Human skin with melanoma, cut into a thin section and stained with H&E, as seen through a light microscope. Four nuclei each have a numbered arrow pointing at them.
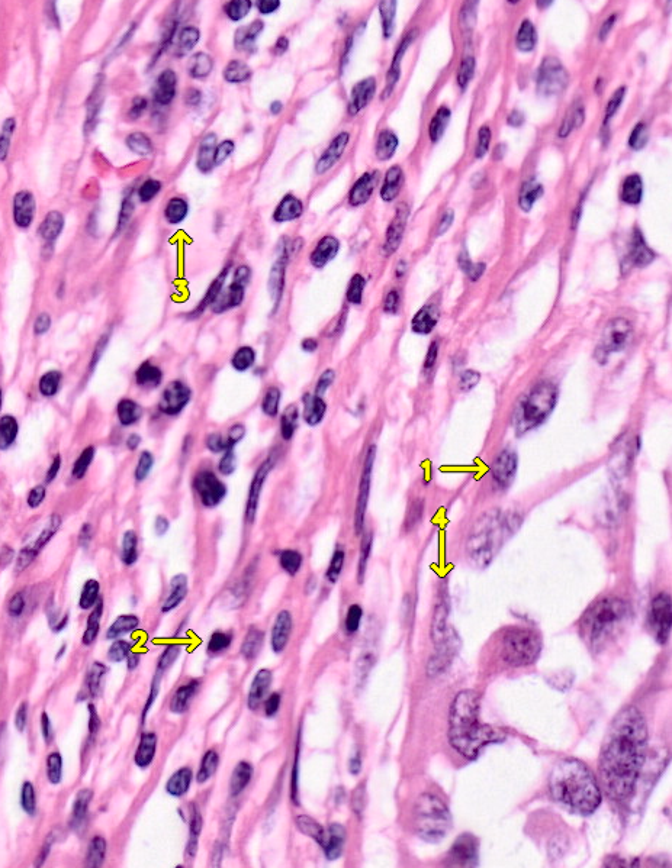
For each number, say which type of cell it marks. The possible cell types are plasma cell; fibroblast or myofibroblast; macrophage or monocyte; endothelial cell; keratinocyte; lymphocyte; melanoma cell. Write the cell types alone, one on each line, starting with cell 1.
melanoma cell
lymphocyte
lymphocyte
melanoma cell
